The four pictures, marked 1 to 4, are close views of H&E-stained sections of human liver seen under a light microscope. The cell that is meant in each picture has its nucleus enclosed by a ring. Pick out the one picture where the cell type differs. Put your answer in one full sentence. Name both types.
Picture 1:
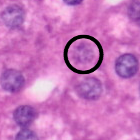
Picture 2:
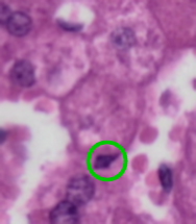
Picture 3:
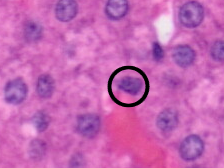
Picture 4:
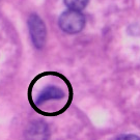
The others show “fibroblasts or stellate cells”, but picture 1 shows a hepatocyte.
